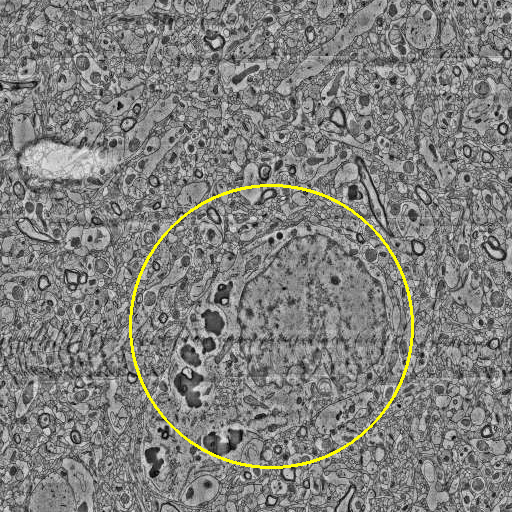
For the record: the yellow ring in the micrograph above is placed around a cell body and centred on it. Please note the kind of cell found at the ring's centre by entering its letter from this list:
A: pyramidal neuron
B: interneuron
B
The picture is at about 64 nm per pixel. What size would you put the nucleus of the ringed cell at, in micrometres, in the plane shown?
Roughly 10 micrometres across, measured in this plane.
